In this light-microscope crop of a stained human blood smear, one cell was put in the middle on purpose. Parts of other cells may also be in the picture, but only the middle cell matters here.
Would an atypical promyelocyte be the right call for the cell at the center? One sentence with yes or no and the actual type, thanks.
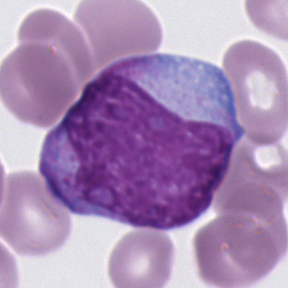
Yes, this is an atypical promyelocyte, the cell in the middle of the crop.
